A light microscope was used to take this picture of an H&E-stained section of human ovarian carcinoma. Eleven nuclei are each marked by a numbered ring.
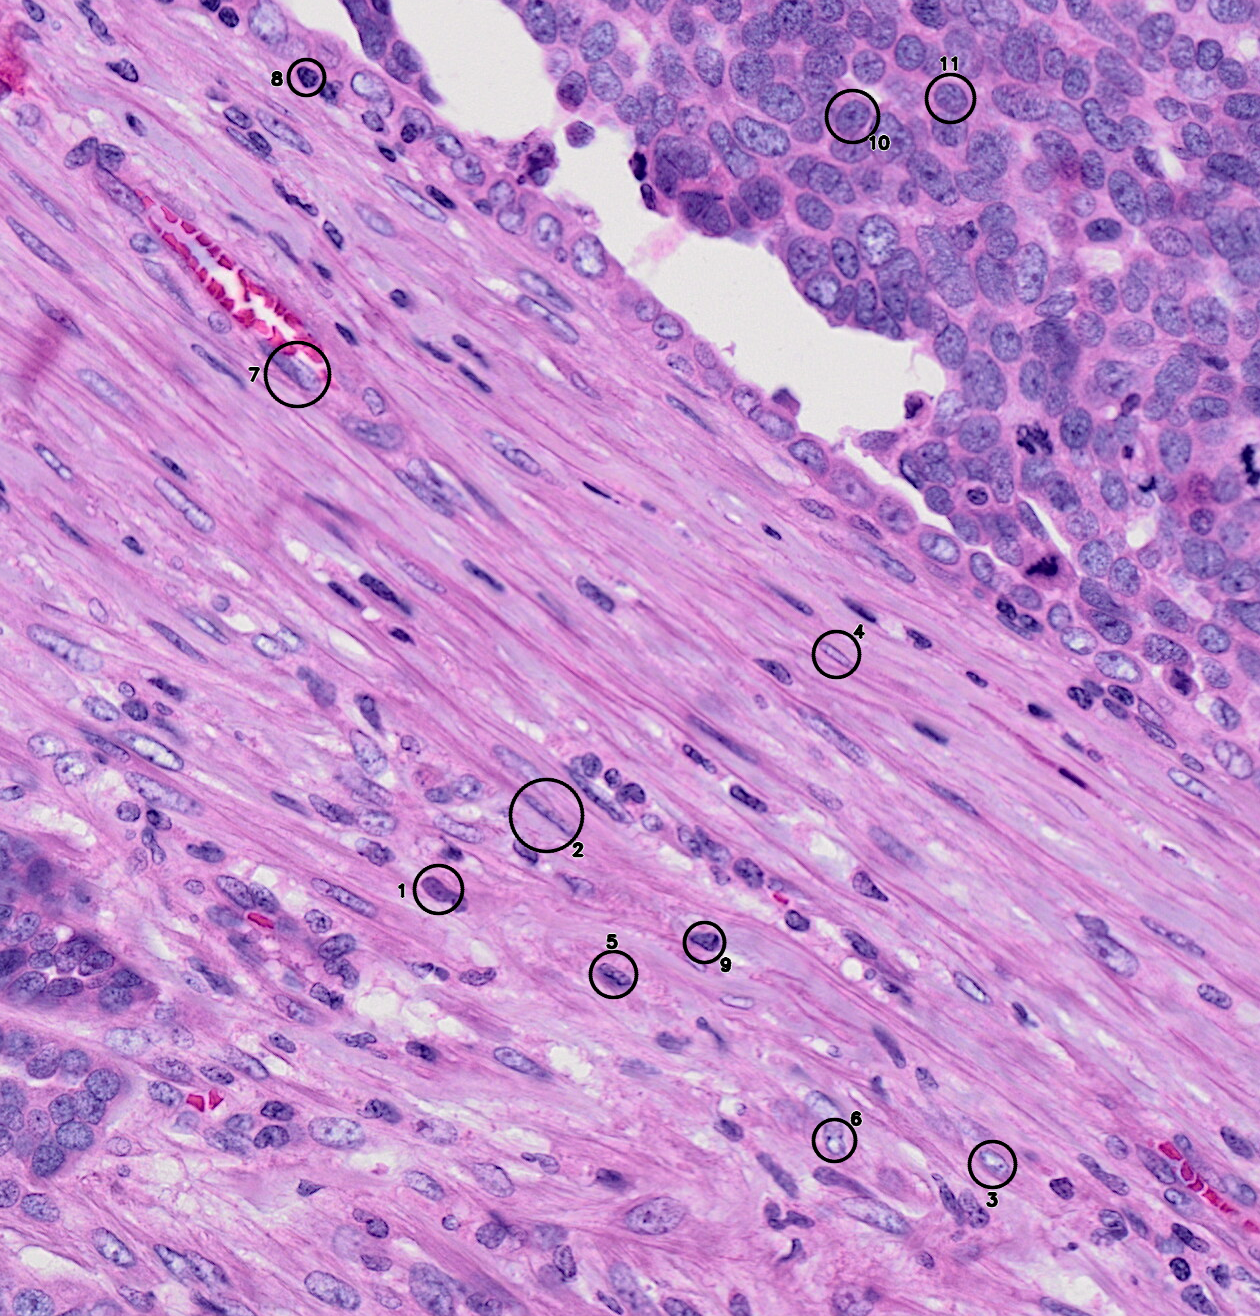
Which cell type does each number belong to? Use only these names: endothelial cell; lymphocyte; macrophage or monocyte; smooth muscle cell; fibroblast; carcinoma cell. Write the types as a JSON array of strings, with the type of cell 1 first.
["macrophage or monocyte", "fibroblast", "fibroblast", "fibroblast", "macrophage or monocyte", "fibroblast", "endothelial cell", "lymphocyte", "macrophage or monocyte", "carcinoma cell", "carcinoma cell"]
